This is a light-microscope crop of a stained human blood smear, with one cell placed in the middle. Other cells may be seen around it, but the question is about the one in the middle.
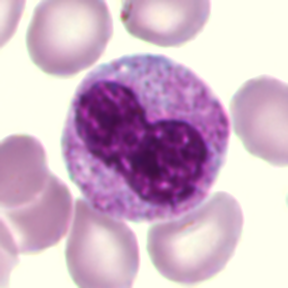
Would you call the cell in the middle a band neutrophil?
yes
